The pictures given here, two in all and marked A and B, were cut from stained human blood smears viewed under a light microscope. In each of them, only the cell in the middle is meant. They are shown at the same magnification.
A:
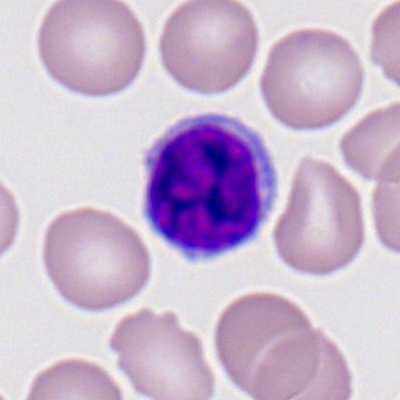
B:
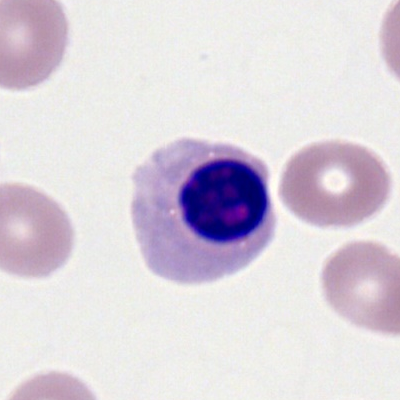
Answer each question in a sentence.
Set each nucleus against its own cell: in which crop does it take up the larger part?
Of the two, the nucleus in crop A makes up the greater part of its cell.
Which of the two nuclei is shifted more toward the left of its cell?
Seen within its cell, the nucleus in crop A lies further toward the left.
